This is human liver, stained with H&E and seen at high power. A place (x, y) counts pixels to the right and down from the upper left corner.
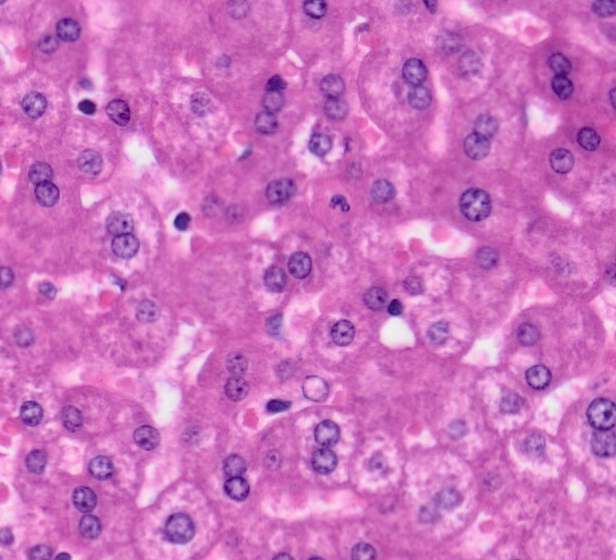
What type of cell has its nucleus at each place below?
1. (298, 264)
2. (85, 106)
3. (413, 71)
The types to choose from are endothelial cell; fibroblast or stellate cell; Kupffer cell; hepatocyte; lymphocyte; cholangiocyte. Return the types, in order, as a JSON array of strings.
["hepatocyte", "lymphocyte", "hepatocyte"]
